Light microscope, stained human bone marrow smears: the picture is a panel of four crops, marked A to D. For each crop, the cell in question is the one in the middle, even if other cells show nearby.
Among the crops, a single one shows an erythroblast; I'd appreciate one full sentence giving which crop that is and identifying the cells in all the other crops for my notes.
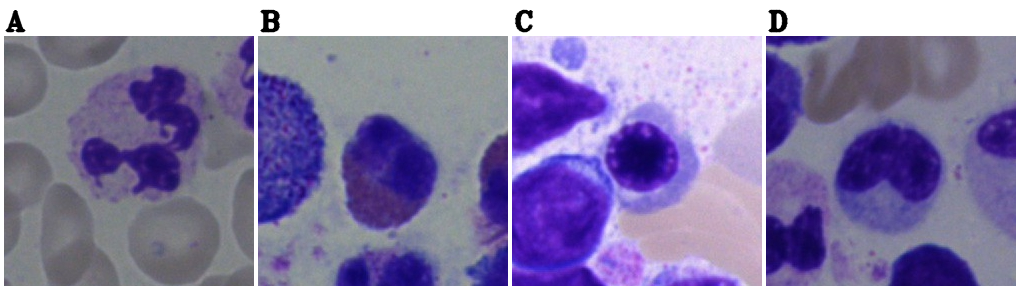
It is crop C that shows an erythroblast, while crop A is a segmented neutrophil, crop B is an eosinophil and crop D is a band neutrophil.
